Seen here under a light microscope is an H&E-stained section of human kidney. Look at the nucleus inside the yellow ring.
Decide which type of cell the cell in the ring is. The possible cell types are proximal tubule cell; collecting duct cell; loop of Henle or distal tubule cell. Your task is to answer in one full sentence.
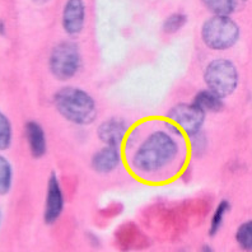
The classification of the cell in the ring is as a collecting duct cell.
